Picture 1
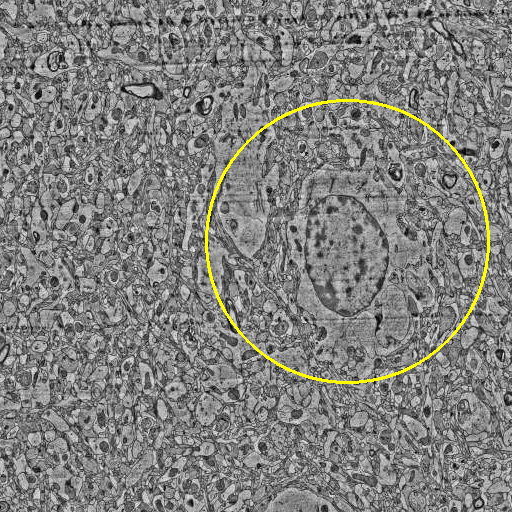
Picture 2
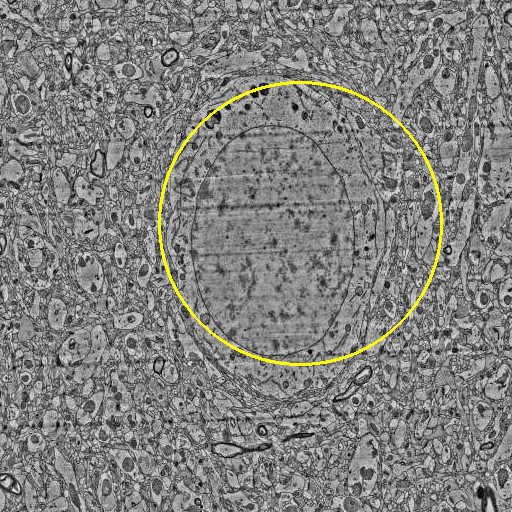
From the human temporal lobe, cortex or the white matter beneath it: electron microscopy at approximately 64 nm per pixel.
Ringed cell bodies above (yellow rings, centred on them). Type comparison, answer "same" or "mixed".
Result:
mixed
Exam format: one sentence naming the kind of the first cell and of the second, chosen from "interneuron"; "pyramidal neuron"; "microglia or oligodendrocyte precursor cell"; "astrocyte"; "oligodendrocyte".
The first picture's cell is an astrocyte, and the second picture's cell is a pyramidal neuron.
